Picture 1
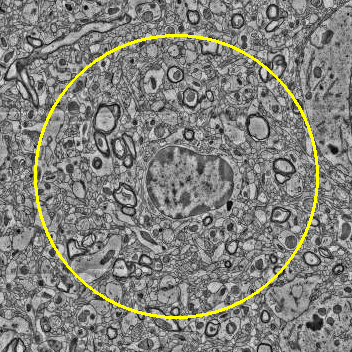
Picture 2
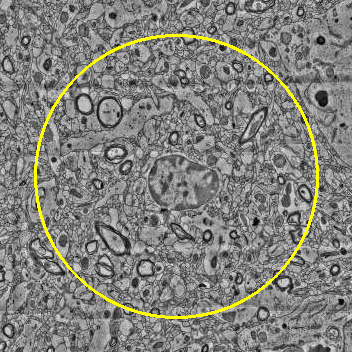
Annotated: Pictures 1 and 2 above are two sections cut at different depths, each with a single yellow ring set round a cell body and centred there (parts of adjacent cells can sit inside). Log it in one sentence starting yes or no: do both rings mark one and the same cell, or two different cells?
Yes, the cell inside the first ring is the cell inside the second.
